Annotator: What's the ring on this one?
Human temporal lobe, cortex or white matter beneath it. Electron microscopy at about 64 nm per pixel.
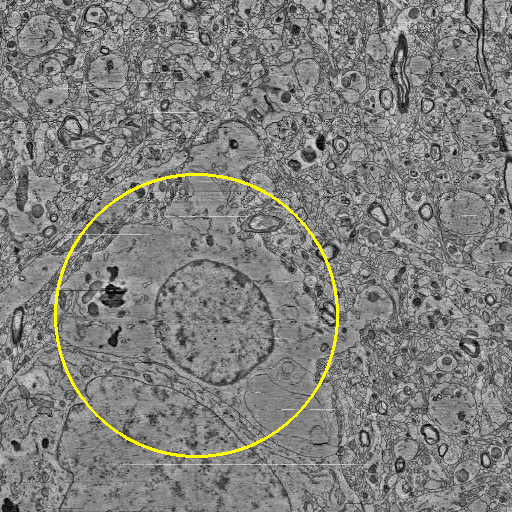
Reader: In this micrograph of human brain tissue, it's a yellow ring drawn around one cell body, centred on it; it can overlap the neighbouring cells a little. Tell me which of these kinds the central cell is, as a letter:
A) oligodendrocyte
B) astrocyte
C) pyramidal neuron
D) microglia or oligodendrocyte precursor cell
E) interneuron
B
